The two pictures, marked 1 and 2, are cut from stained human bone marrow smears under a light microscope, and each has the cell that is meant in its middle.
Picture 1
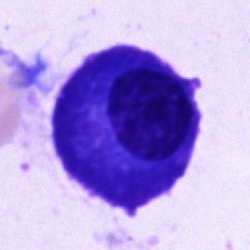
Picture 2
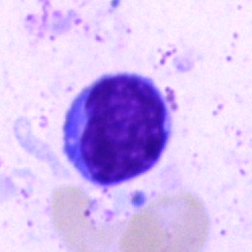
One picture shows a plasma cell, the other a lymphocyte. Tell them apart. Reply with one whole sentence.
Picture 2 shows a lymphocyte, while picture 1 shows a plasma cell.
